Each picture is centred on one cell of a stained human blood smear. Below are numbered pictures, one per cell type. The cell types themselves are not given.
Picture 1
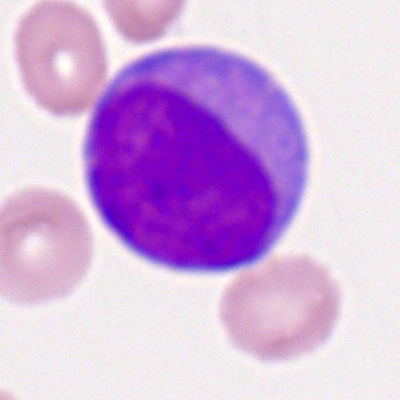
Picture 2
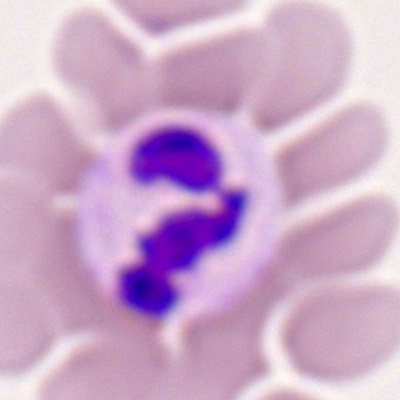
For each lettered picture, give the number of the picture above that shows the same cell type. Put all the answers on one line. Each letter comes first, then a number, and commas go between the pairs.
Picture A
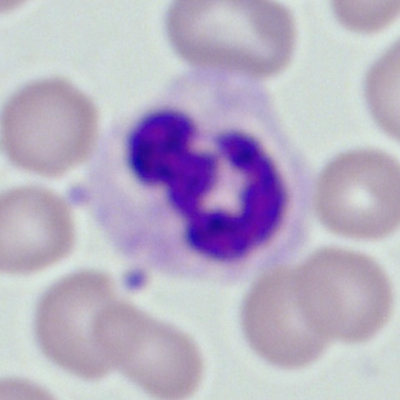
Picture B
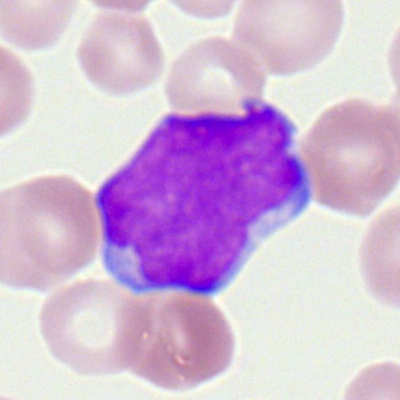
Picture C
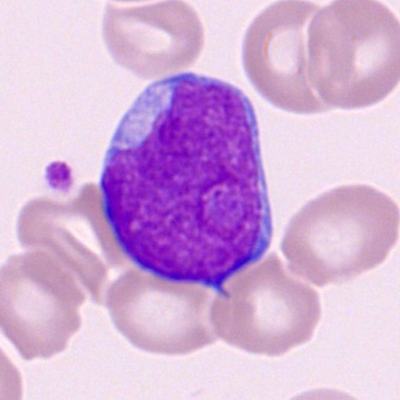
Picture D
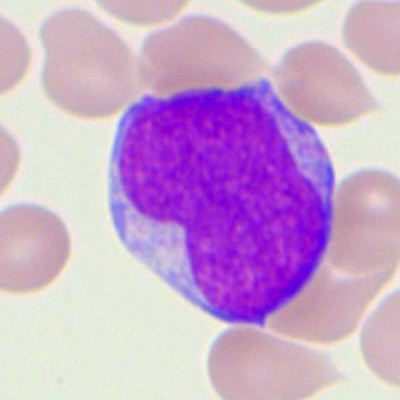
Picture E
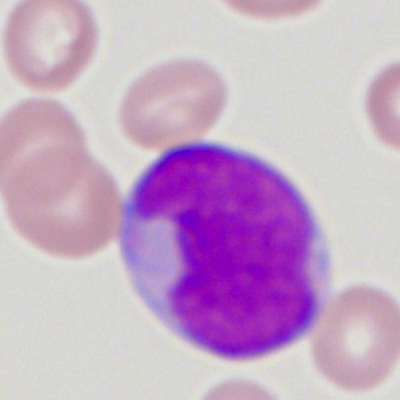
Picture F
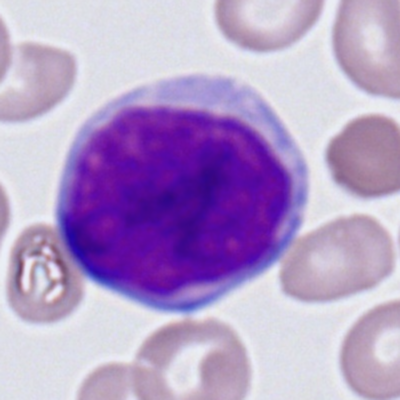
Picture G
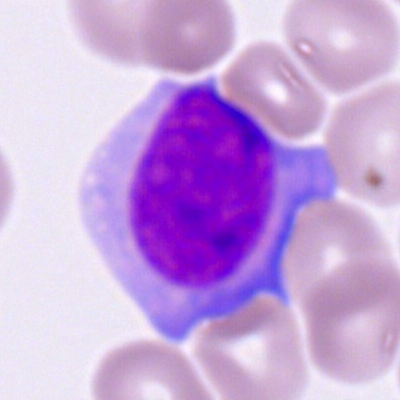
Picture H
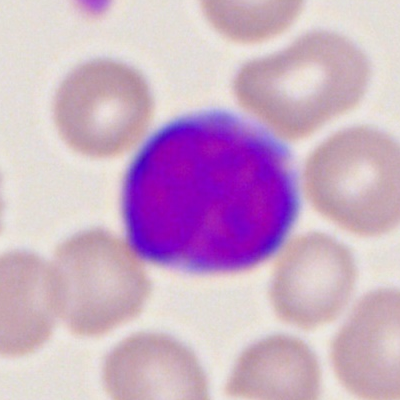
A 2, B 1, C 1, D 1, E 1, F 1, G 1, H 1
